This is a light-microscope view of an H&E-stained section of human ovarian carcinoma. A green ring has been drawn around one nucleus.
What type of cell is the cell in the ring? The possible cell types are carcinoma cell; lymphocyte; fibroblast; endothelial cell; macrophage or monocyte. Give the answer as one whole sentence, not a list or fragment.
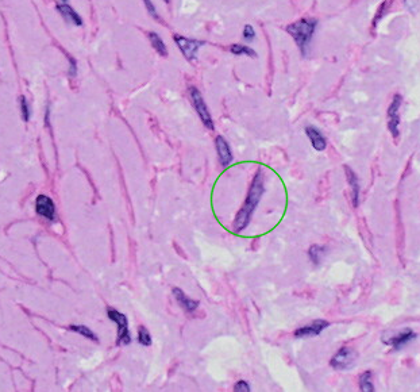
In the tissue at hand, the cell in the ring is a fibroblast.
